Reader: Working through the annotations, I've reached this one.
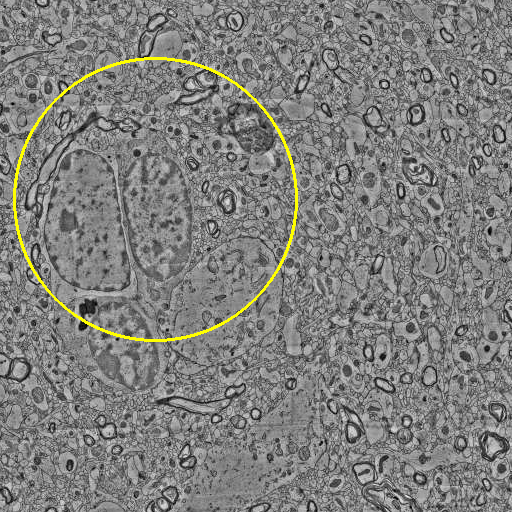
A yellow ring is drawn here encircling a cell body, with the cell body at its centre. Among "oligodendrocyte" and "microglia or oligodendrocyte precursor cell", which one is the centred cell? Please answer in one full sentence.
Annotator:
The cell body at the centre of the yellow ring in this image belongs to an oligodendrocyte.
